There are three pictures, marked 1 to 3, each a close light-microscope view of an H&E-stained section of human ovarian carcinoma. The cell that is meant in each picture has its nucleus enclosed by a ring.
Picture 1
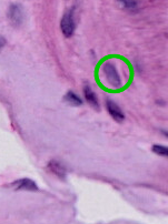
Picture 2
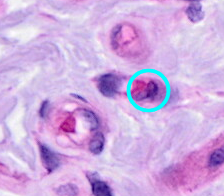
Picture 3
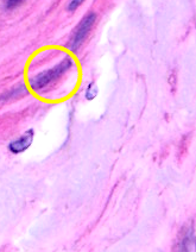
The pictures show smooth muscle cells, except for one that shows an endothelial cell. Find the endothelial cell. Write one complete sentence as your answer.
It is picture 2 that shows the endothelial cell.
